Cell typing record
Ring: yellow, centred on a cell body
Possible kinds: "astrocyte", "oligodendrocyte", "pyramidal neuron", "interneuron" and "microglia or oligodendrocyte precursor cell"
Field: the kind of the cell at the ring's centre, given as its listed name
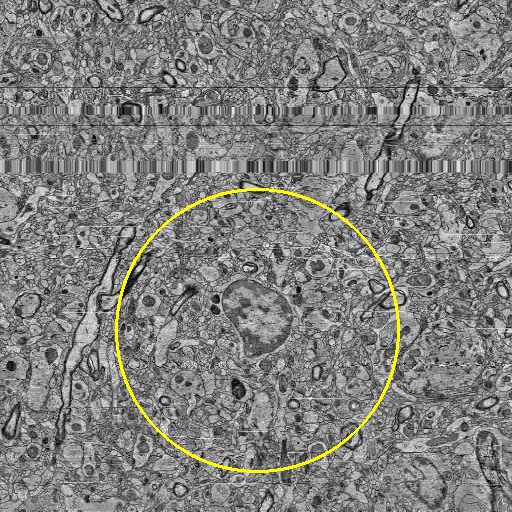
microglia or oligodendrocyte precursor cell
